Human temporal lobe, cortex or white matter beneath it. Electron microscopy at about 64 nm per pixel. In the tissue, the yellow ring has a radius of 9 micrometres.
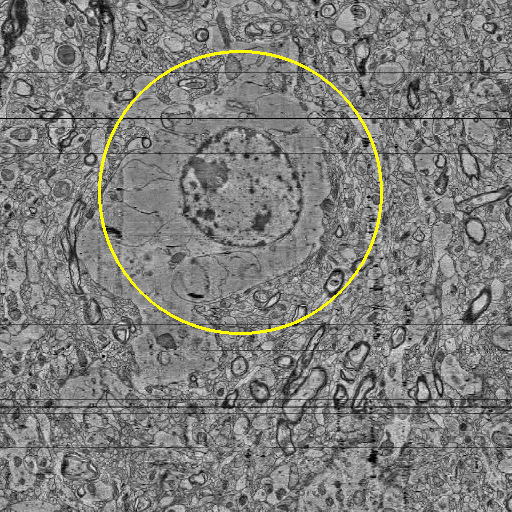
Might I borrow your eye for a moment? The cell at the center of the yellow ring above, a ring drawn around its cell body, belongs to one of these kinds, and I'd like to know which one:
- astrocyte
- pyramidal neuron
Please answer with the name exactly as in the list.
astrocyte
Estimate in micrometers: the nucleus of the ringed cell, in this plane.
In this plane the nucleus measures roughly 8 micrometres across.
